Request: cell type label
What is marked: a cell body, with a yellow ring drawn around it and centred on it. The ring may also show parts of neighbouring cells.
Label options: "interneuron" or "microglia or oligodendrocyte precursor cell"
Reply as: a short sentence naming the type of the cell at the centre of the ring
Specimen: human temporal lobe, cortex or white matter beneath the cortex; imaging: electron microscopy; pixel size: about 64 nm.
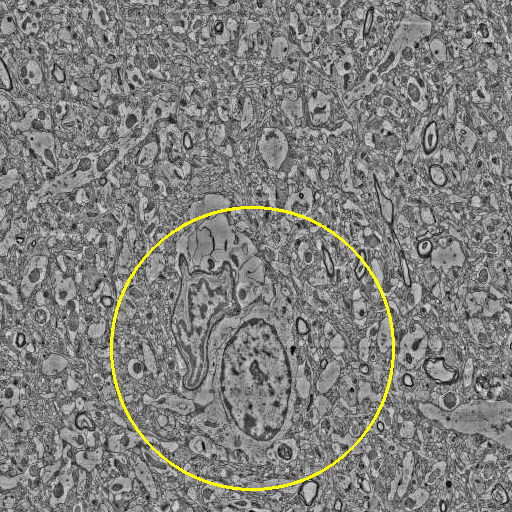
The marked cell body is that of a microglial cell or oligodendrocyte precursor cell.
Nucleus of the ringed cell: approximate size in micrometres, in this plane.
About 8 by 5 micrometres in this plane; clearly longer than it is wide.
